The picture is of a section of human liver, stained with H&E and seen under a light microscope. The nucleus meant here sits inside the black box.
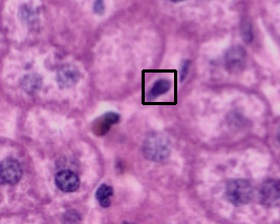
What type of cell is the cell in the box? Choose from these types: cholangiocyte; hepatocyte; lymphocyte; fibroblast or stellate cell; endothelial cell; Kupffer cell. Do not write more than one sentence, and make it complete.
The expected answer is simply that the cell in the box is a lymphocyte.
